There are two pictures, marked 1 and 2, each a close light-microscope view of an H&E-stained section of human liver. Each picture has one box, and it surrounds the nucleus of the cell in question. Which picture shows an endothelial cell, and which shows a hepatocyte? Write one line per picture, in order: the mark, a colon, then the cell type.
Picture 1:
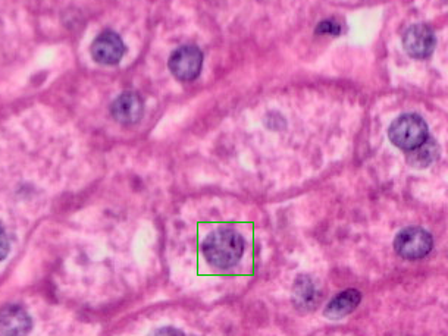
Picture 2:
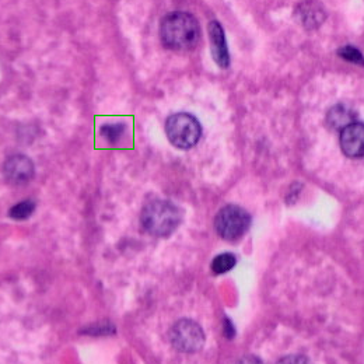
1: hepatocyte
2: endothelial cell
